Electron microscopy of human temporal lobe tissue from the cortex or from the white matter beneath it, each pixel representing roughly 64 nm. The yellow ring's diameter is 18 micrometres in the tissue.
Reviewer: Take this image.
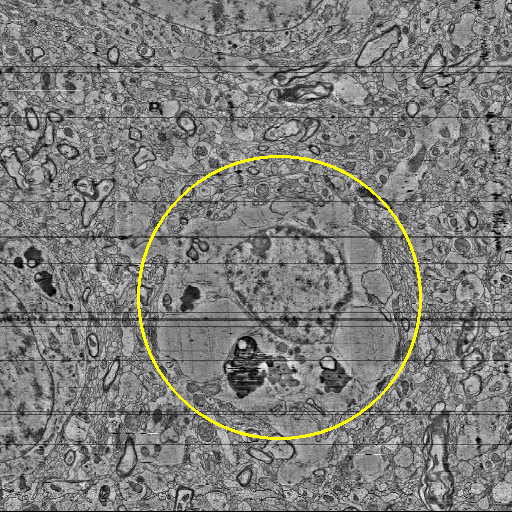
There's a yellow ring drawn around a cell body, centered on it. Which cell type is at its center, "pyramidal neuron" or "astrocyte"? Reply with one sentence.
At the center of the yellow ring is an astrocyte.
